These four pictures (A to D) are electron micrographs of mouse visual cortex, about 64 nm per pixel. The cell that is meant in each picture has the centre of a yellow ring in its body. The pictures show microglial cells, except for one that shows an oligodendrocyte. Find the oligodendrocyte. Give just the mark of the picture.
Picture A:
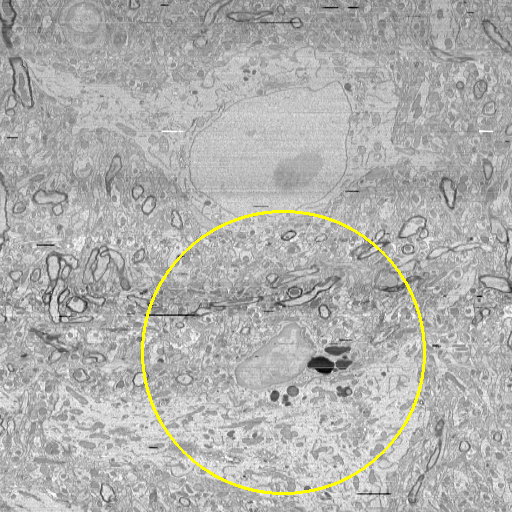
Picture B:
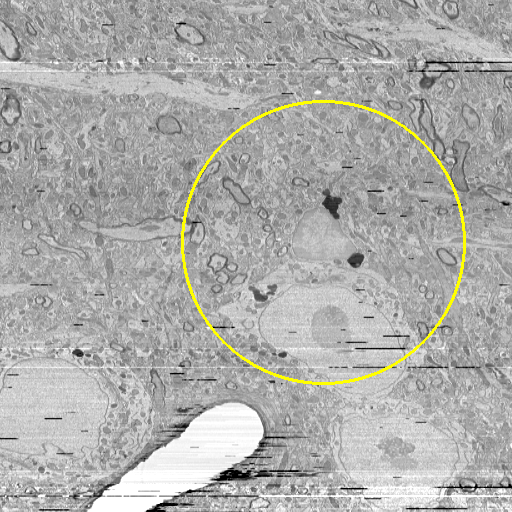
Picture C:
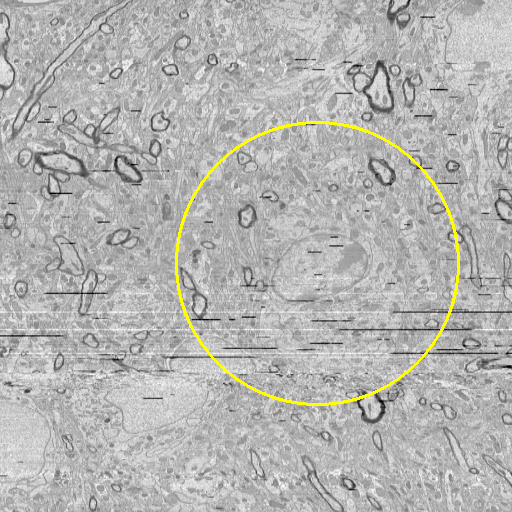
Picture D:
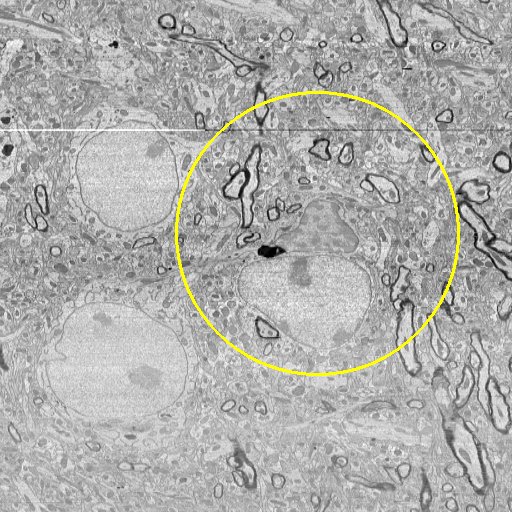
C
